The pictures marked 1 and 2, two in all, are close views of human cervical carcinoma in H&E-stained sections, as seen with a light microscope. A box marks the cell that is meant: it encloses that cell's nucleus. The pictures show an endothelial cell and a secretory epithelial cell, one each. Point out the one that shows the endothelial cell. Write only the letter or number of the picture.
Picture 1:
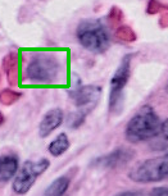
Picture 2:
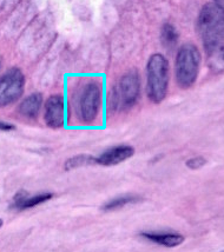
1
